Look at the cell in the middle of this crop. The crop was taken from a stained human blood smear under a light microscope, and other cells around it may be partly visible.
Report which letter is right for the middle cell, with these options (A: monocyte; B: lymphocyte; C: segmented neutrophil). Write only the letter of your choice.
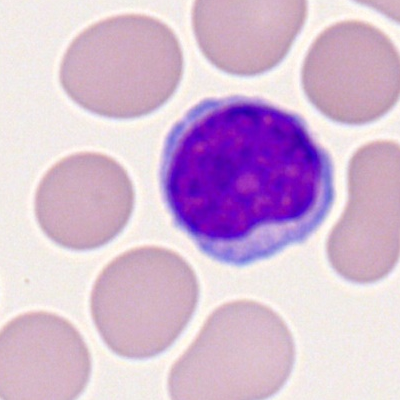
B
